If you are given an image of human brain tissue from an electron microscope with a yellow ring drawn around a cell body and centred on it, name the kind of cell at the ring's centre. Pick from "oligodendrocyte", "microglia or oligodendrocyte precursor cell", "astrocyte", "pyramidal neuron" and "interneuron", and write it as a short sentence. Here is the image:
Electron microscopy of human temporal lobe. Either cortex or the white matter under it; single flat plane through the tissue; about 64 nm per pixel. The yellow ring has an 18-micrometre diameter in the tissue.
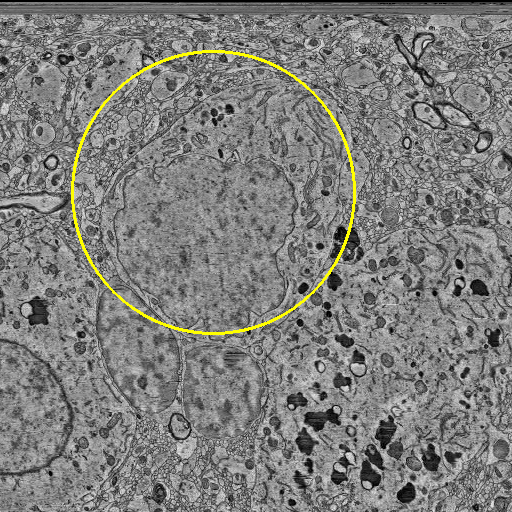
The cell at the ring's centre is an interneuron.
